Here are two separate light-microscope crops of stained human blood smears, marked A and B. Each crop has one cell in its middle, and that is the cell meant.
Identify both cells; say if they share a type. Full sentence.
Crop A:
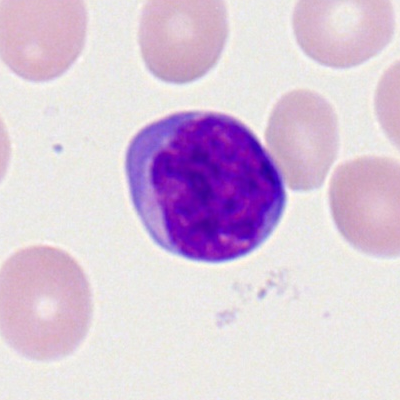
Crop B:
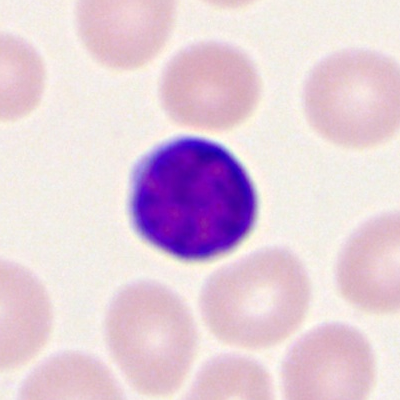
Yes, that is right, both crops show lymphocytes.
